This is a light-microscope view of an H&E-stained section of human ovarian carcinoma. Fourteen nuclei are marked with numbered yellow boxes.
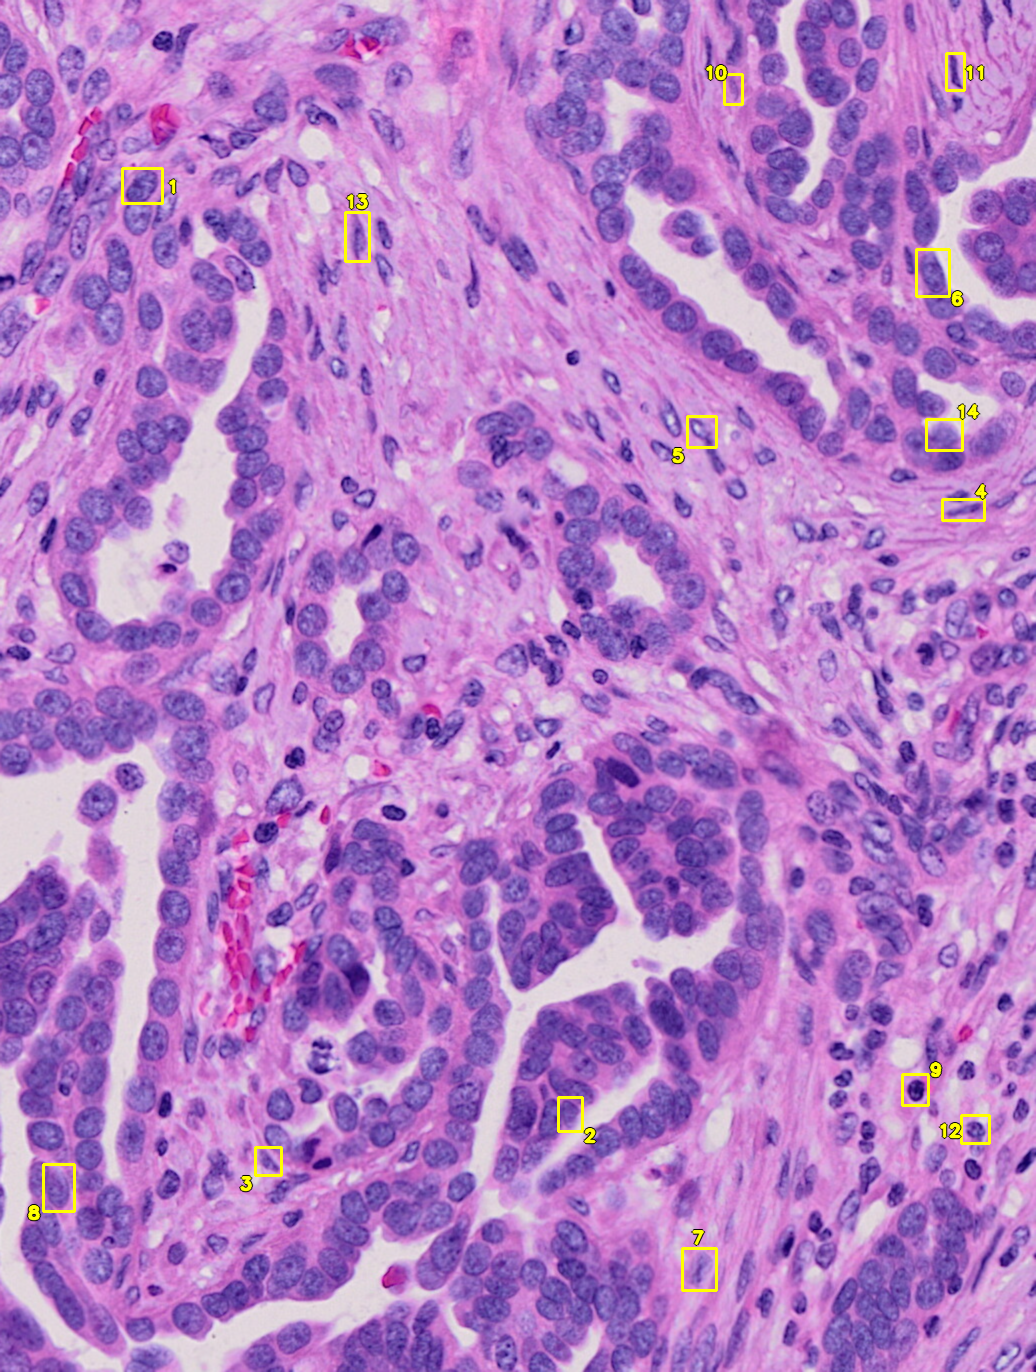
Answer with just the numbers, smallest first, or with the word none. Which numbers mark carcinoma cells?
1, 2, 6, 8, 14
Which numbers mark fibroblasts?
3, 4, 5, 7, 10, 11, 13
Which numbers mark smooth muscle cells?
none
